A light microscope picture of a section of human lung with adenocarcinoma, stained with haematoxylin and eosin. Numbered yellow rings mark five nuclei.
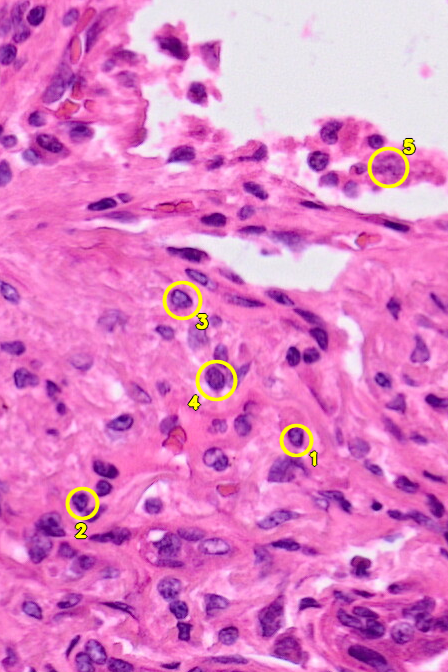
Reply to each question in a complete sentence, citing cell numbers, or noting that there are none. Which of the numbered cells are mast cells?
Cells 1 and 3 are recognised here as mast cells.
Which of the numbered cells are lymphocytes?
The numbers 2 and 4 in this section indicate lymphocytes.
